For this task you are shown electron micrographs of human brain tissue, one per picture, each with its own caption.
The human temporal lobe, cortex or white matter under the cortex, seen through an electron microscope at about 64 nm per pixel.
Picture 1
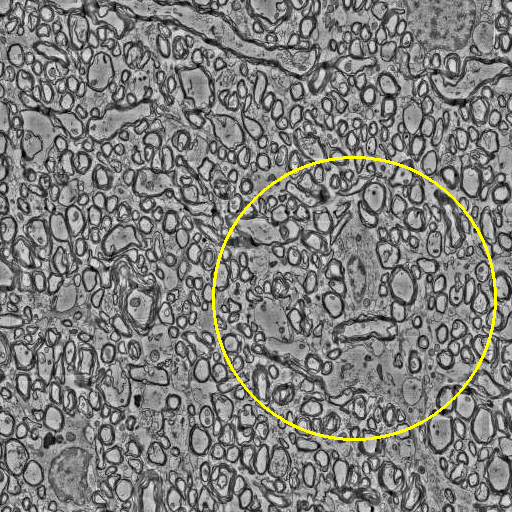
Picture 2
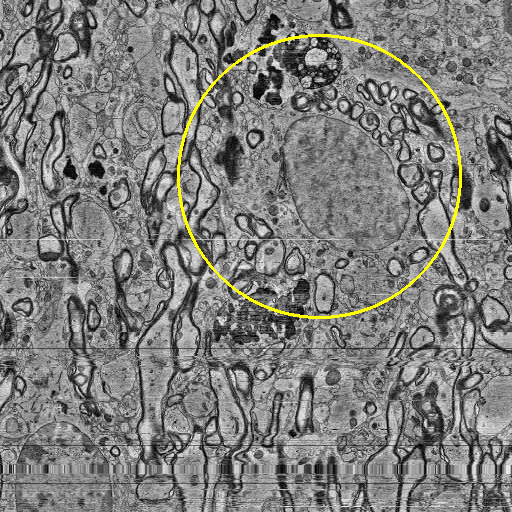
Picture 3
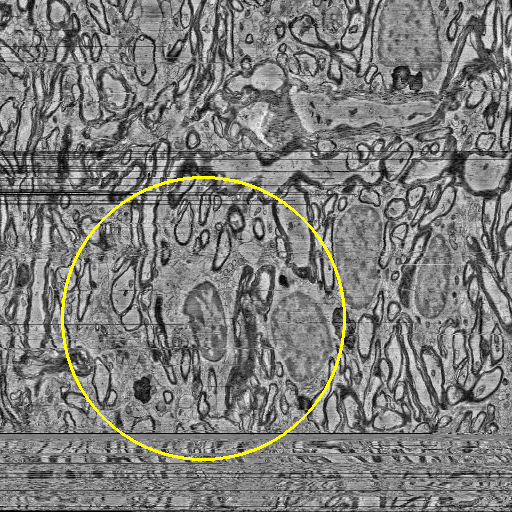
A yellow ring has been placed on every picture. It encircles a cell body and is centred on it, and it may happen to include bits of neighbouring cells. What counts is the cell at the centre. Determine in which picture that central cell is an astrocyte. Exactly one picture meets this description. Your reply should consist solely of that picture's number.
1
